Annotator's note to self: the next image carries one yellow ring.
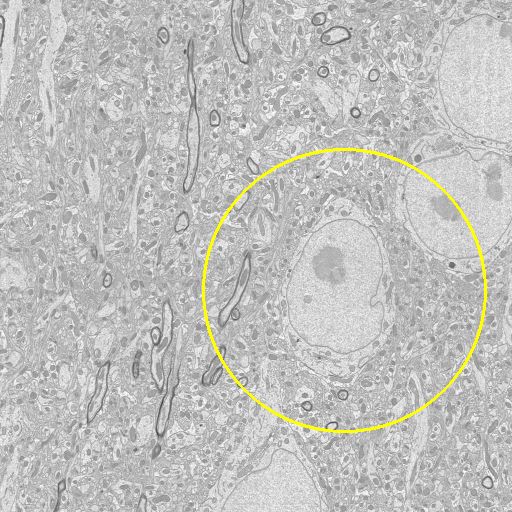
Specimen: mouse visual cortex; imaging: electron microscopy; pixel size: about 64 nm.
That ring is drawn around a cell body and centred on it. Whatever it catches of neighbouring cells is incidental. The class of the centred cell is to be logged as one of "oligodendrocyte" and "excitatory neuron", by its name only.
excitatory neuron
